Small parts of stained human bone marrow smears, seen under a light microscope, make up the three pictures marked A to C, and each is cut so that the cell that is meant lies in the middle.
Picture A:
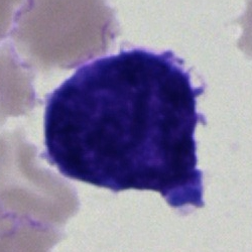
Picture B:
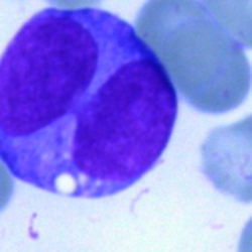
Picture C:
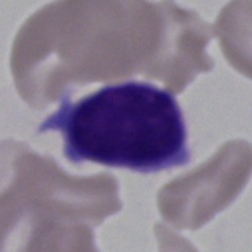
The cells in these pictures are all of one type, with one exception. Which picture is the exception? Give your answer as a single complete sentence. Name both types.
All pictures except C show blasts; picture C shows a lymphocyte.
